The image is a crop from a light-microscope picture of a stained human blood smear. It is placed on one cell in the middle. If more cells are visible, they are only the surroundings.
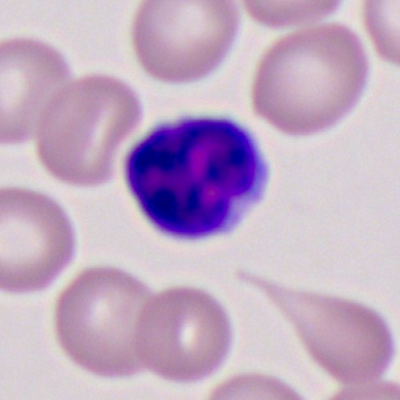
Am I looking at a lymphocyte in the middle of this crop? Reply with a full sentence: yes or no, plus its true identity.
Yes, at the centre of the crop lies a lymphocyte.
